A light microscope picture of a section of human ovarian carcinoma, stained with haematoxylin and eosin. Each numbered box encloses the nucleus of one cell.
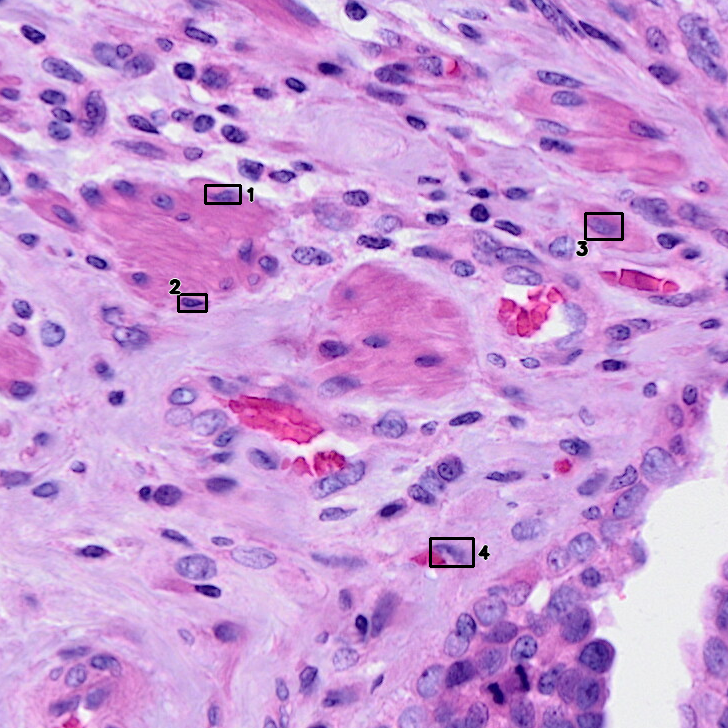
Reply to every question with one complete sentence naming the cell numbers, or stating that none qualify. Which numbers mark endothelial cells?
Among the numbered cells, the one that is an endothelial cell is cell 4 alone.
